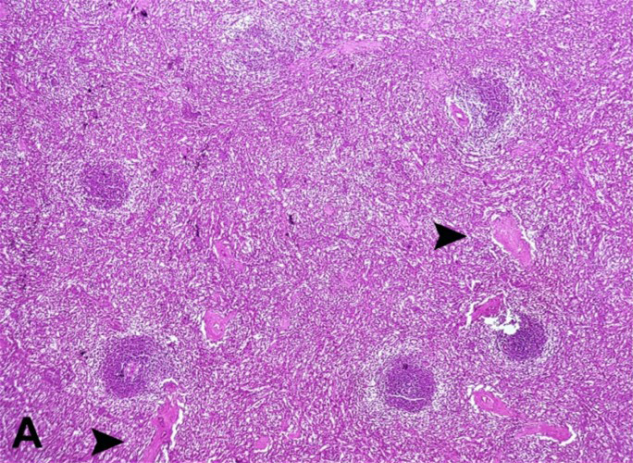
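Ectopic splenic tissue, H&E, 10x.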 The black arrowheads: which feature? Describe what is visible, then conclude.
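The bands run through the parenchyma between the dark round nodules.
Answer: trabeculae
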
